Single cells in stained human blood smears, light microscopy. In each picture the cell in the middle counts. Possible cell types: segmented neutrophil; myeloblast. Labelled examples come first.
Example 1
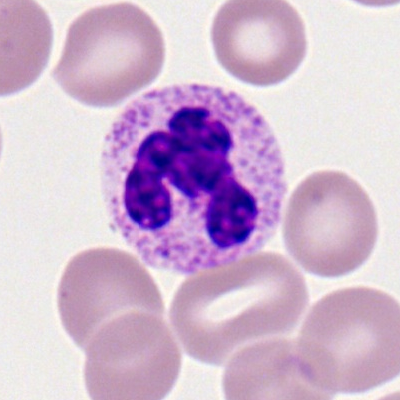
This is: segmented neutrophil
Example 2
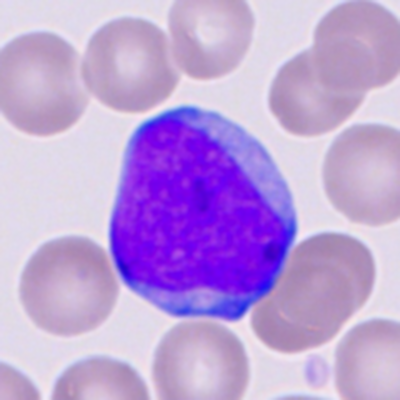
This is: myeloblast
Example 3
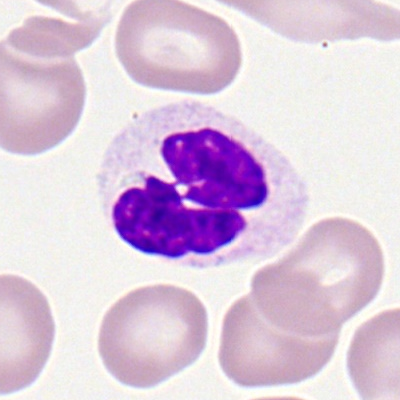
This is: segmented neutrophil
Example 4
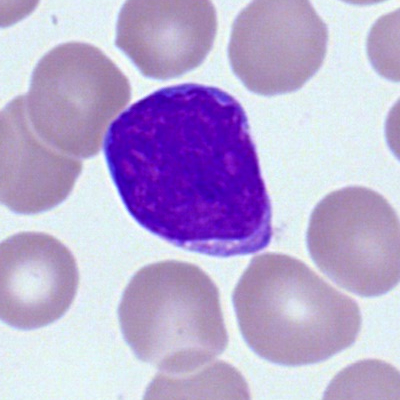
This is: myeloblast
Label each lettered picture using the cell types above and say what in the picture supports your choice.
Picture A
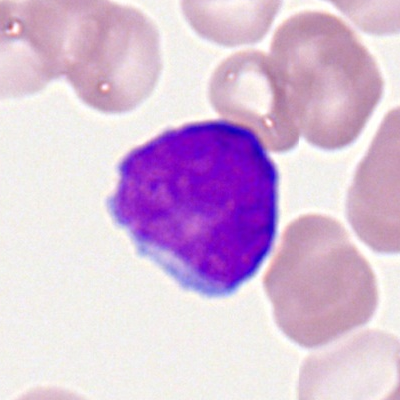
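Label: myeloblast. The cytoplasm is scant, forming only a thin rim around the nucleus.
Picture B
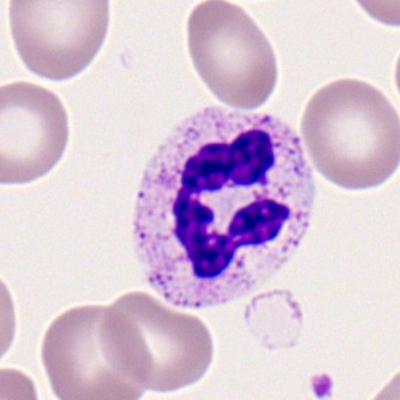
Label: segmented neutrophil. The nucleus is a curved, constricted band bent into a C-shape that opens towards the right.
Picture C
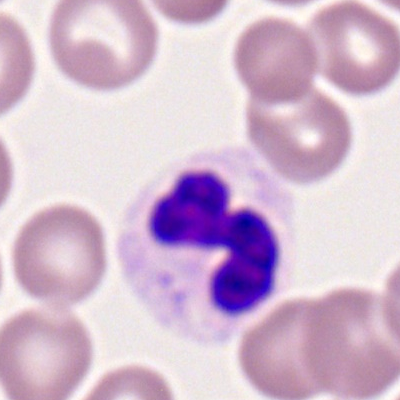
Label: segmented neutrophil. The cytoplasm is plentiful and pale pinkish-lilac.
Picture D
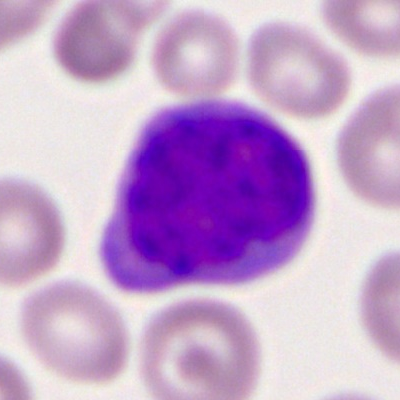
Label: myeloblast. The cytoplasm is scant and forms only a thin rim around most of the nucleus.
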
